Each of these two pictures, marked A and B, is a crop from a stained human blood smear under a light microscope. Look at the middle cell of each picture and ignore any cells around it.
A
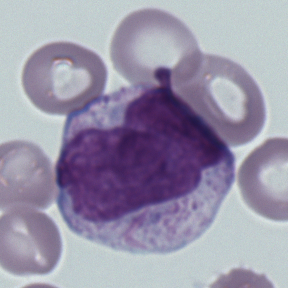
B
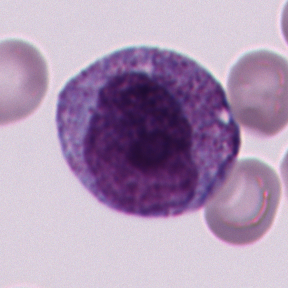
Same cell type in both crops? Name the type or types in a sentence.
Yes, the central cells, in both crops, are atypical promyelocytes.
